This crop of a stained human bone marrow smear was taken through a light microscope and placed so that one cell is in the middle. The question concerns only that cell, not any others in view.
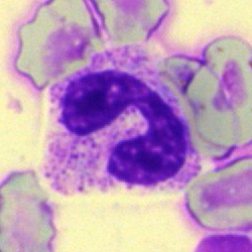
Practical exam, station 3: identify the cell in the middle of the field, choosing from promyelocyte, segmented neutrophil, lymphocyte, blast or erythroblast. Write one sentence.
At the middle of the frame sits a segmented neutrophil.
